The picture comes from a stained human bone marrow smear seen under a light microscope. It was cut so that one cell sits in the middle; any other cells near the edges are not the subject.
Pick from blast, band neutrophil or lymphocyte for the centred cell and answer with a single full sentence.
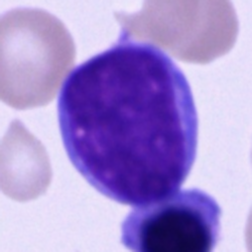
Within this crop, a blast occupies the central position.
